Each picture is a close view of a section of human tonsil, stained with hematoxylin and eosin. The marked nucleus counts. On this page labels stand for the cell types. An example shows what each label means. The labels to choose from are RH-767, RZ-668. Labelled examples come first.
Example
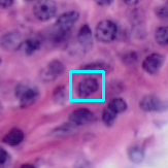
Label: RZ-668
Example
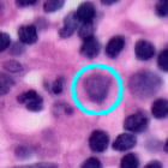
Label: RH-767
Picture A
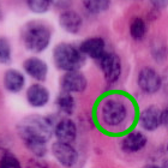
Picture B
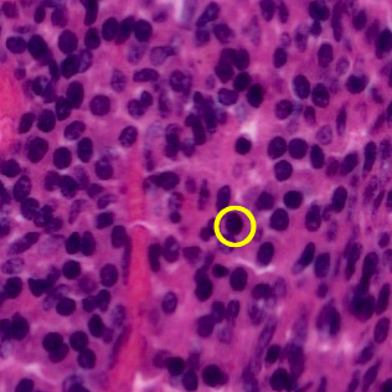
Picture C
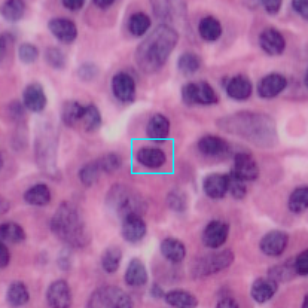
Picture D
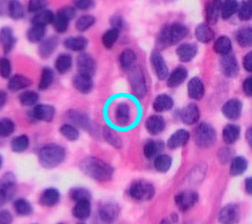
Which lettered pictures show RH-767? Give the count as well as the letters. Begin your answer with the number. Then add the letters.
Count: 1 (D)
